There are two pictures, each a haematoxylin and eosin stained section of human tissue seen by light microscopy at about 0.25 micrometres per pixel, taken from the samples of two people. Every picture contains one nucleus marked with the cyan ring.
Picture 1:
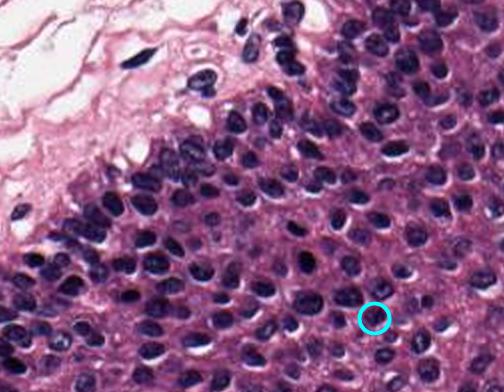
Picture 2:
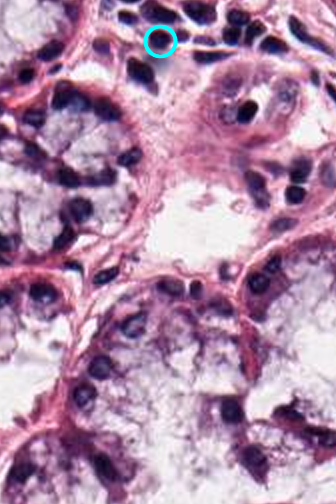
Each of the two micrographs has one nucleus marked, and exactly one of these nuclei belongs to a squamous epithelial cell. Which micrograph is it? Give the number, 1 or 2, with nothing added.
1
